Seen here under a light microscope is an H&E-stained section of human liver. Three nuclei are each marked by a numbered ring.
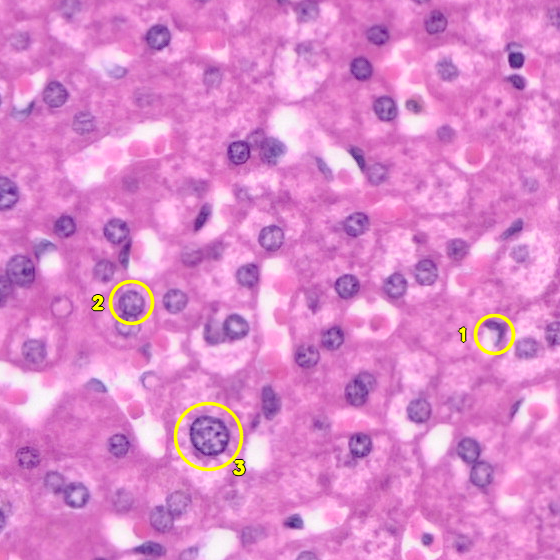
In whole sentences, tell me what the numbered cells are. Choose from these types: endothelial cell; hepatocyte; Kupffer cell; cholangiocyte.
Cell 1 is an endothelial cell. Cells 2 and 3 are hepatocytes.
